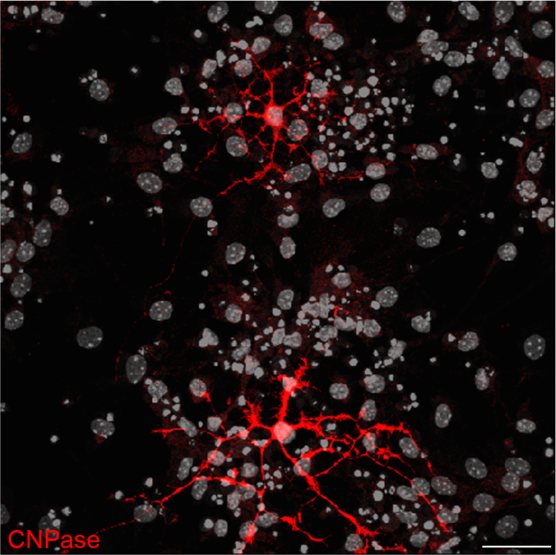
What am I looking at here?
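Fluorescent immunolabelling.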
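Two oligodendrocytes stand out in red in a field of many unlabelled cells shown only by grey nuclei. Each has a small, rounded cell body from which many fine processes radiate in all directions, branching repeatedly and ending in thin twigs, so that the cell looks like a spread star or web. The processes run over and between the surrounding nuclei. The grey nuclei around them vary: some are large and oval, others small, bright and crowded into clumps. Most of the field carries no red, so these branched cells are few among the rest.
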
